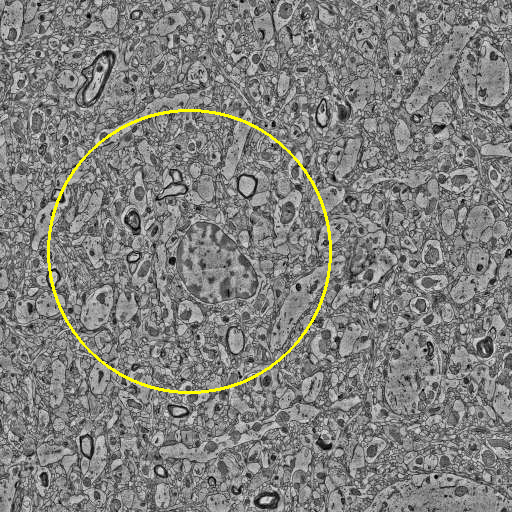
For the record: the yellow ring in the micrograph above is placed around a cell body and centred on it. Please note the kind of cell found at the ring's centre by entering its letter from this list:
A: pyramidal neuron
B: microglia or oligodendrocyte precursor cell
B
